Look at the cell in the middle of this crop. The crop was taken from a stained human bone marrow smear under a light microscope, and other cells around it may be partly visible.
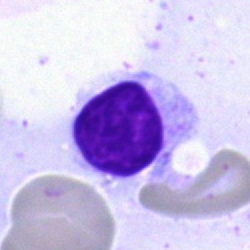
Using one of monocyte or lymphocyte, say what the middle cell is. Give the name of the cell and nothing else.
lymphocyte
